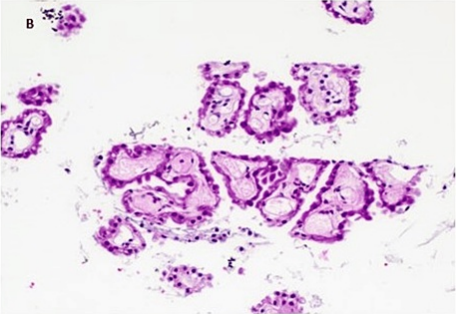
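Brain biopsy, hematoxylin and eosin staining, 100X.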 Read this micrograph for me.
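The nuclei are small, round and dark purple, set in a single or double row at the rim of each ring. Several rosettes lie side by side, some joined into a chain, against an empty background.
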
